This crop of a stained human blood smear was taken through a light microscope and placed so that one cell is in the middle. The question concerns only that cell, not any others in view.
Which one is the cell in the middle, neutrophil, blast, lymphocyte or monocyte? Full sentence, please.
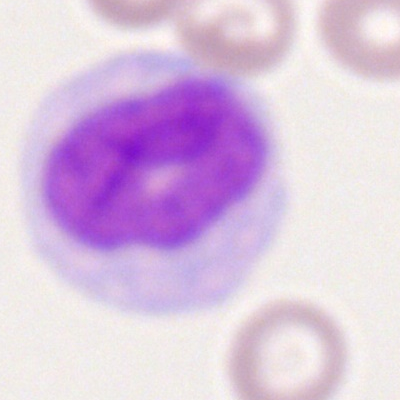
Centrally within this crop lies a monocyte.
